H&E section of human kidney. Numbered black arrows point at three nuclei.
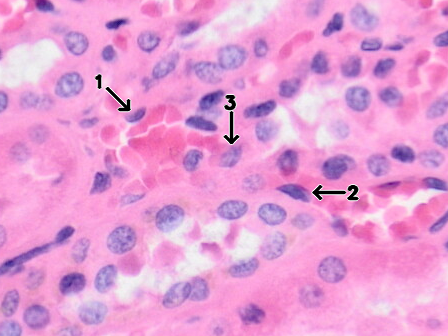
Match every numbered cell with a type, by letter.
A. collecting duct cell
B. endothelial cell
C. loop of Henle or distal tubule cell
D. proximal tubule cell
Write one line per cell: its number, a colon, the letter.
1: B
2: B
3: C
